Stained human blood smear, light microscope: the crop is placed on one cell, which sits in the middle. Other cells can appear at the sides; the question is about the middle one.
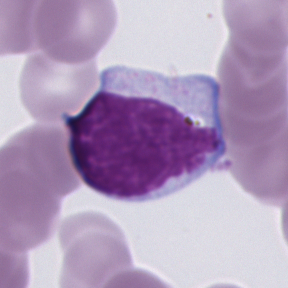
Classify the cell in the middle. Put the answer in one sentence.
In the central position of this crop, the cell is a large granular lymphocyte.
